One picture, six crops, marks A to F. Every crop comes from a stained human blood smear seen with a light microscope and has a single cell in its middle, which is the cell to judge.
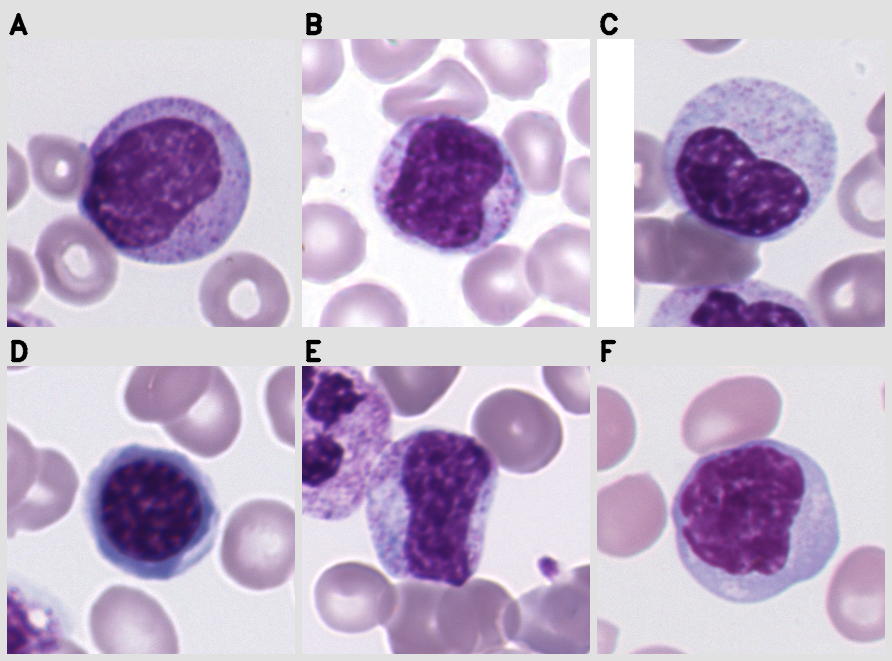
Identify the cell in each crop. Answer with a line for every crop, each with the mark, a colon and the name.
A: myelocyte
B: metamyelocyte
C: metamyelocyte
D: normoblast
E: metamyelocyte
F: large granular lymphocyte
